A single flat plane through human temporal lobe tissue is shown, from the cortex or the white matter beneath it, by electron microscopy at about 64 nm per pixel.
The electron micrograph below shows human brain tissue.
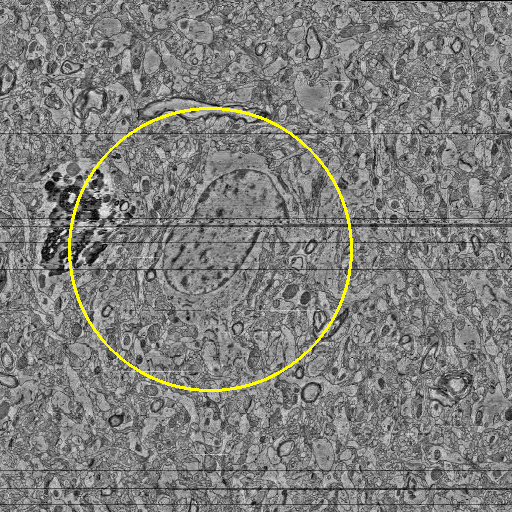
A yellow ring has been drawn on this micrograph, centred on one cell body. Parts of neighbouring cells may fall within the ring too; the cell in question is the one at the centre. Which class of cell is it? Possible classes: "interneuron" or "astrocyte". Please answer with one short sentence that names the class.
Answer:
In the centre of the ring sits an astrocyte.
